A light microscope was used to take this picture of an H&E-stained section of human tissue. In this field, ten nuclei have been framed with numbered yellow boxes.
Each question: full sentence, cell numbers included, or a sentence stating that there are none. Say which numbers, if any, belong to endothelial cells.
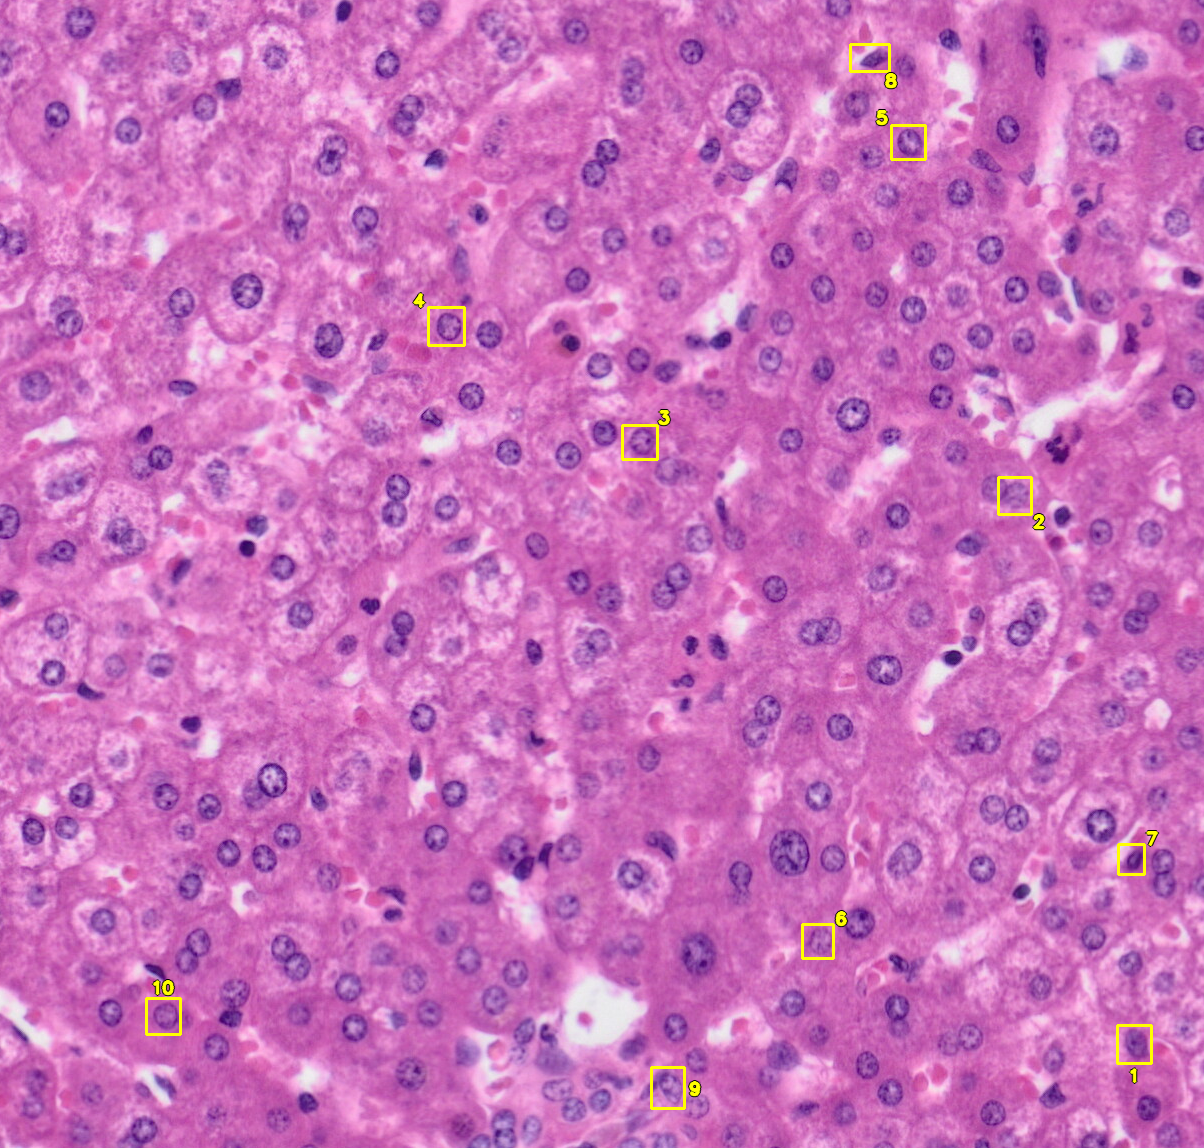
The cells numbered 1 and 8 are identified as endothelial cells.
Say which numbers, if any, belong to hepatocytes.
In this section, the cells numbered 2, 3, 4, 5, 6 and 10 are hepatocytes.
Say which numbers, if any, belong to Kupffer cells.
Only nucleus 7 belongs to a Kupffer cell; the other numbered nuclei do not.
